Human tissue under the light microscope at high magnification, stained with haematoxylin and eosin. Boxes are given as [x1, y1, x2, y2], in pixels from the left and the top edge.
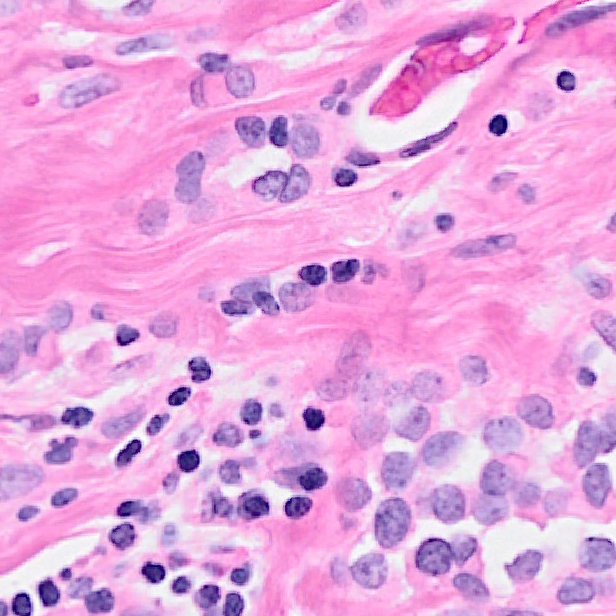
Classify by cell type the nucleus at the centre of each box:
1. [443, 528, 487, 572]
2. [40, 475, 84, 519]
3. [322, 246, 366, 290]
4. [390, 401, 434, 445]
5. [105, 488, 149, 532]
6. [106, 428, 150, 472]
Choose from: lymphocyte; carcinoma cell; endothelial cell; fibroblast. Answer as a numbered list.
1. carcinoma cell
2. lymphocyte
3. lymphocyte
4. carcinoma cell
5. lymphocyte
6. lymphocyte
